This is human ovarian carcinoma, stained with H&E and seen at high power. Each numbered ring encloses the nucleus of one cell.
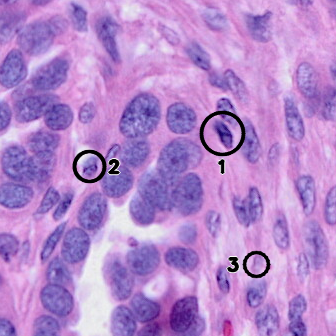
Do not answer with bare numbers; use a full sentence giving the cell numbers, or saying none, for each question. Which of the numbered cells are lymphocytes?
Within the set of numbered cells, only number 1 is a lymphocyte.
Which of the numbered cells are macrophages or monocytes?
Cell 2 is a macrophage or monocyte, and it is the only numbered cell that is.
